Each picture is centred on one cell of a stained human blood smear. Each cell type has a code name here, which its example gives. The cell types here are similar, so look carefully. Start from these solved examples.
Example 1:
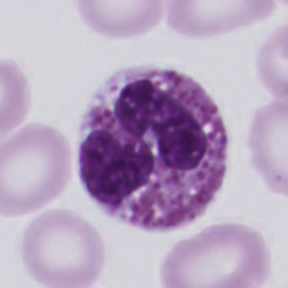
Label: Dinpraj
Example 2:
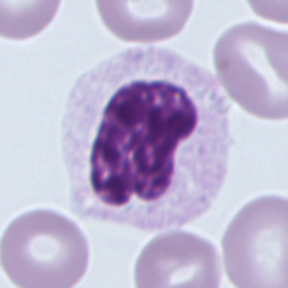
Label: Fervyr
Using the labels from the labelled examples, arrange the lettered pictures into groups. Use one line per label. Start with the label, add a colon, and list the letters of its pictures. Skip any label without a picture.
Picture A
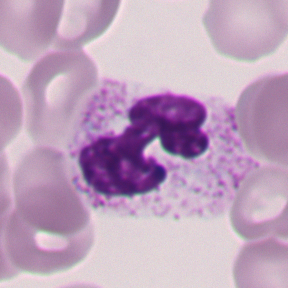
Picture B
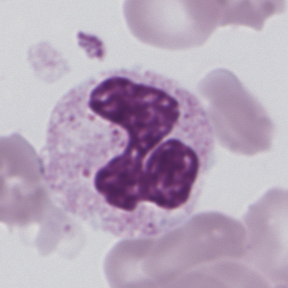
Fervyr: A, B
